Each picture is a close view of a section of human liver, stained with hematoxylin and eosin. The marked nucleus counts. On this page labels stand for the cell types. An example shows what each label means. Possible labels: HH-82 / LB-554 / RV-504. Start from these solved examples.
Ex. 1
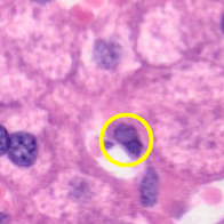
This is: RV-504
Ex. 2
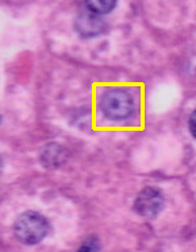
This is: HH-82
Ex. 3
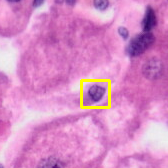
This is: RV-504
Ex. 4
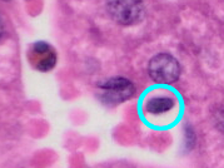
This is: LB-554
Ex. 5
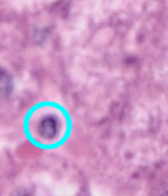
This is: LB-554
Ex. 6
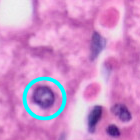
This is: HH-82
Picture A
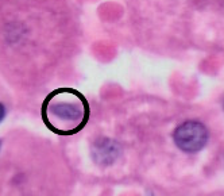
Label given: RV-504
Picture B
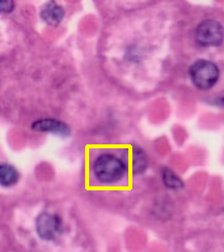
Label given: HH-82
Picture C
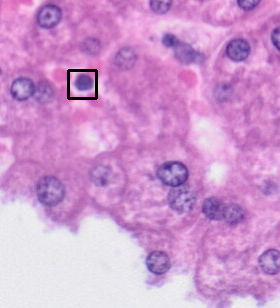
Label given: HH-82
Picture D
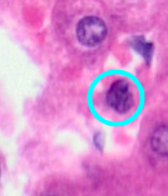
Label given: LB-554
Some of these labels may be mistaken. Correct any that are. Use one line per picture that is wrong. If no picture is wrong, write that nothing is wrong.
C should be LB-554, not HH-82
D should be RV-504, not LB-554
